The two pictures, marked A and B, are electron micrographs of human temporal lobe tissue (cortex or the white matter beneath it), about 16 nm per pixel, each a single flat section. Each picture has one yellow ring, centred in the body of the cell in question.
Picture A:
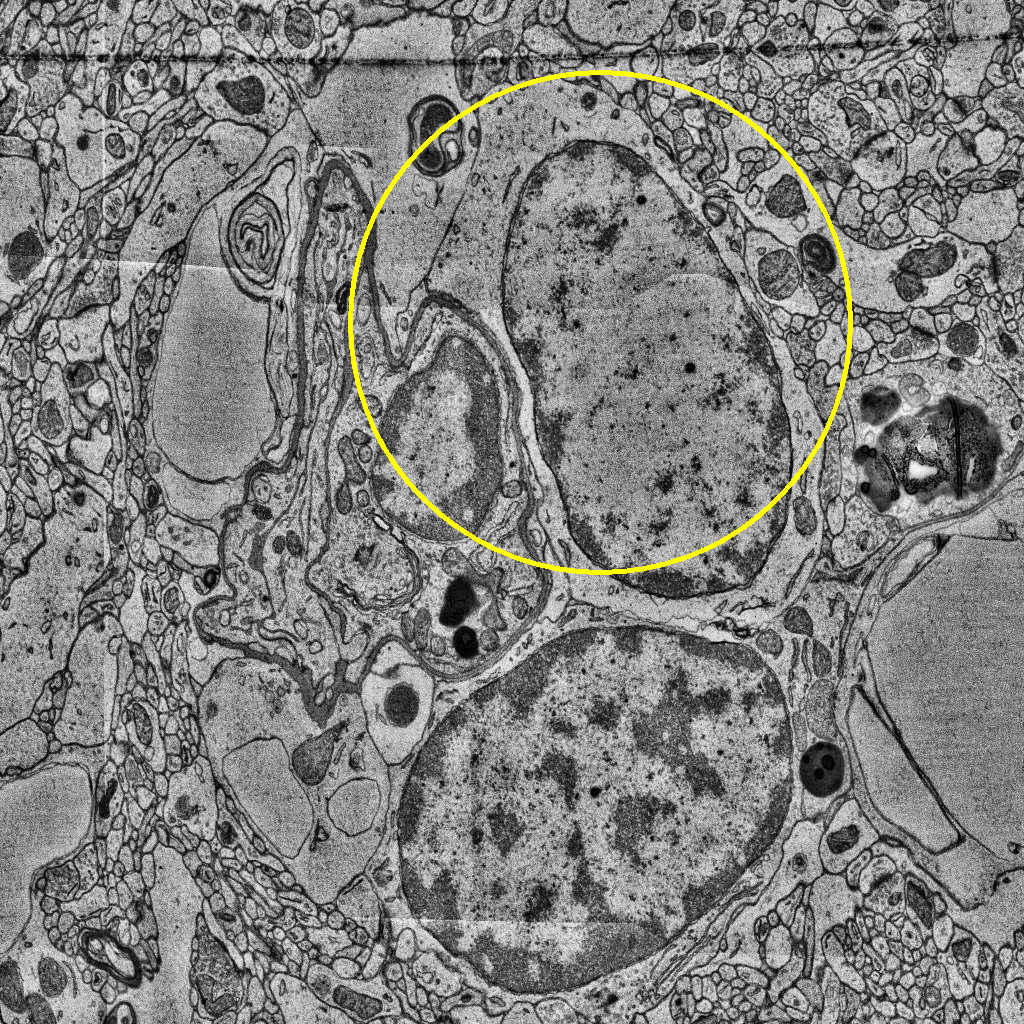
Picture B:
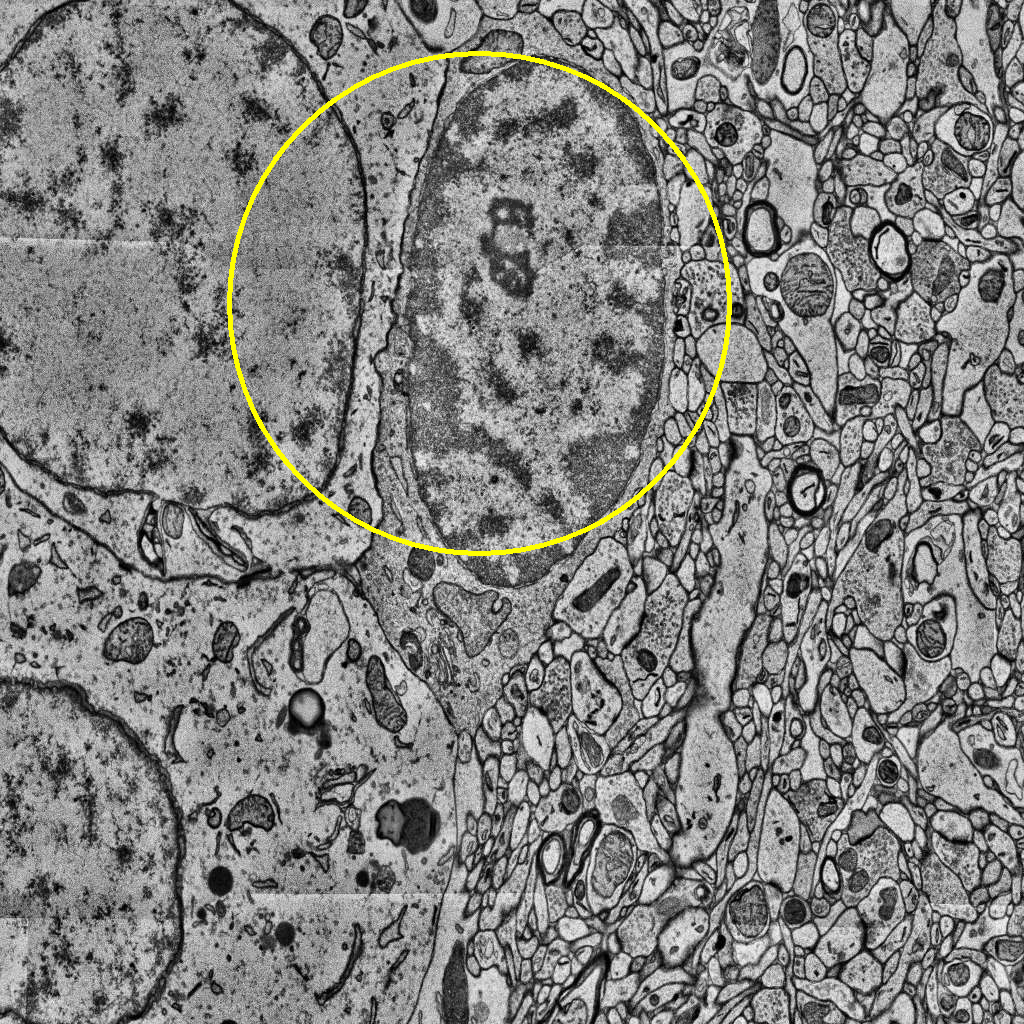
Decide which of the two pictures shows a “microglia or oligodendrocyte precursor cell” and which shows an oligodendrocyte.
It is picture A that shows a “microglia or oligodendrocyte precursor cell”, and picture B that shows an oligodendrocyte.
